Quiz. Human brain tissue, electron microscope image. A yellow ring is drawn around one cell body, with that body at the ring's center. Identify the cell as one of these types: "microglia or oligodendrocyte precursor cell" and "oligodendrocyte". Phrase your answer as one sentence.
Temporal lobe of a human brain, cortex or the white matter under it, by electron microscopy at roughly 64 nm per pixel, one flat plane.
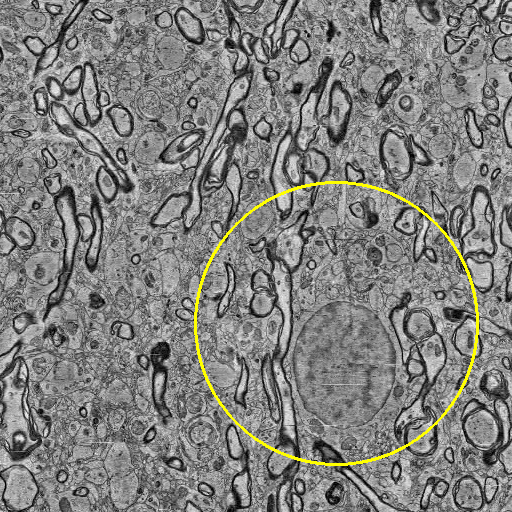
At the center of the ring sits an oligodendrocyte.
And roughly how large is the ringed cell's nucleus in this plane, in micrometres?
In this plane, the nucleus of the cell at the centre of the ring measures about 8 by 7 micrometres.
